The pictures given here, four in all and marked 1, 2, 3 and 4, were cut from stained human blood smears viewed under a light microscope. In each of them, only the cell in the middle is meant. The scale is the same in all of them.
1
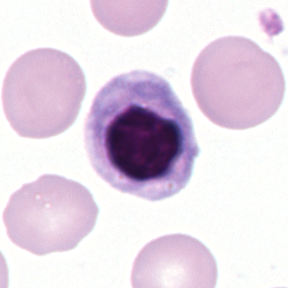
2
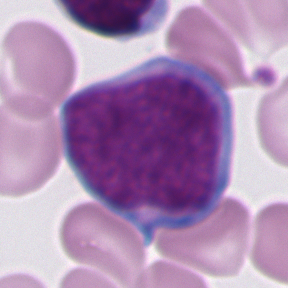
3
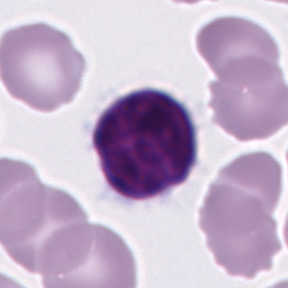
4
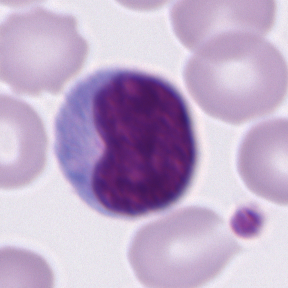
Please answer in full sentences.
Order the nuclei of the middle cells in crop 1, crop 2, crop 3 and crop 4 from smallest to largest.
Going up, they run 1, 3, 4, 2.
